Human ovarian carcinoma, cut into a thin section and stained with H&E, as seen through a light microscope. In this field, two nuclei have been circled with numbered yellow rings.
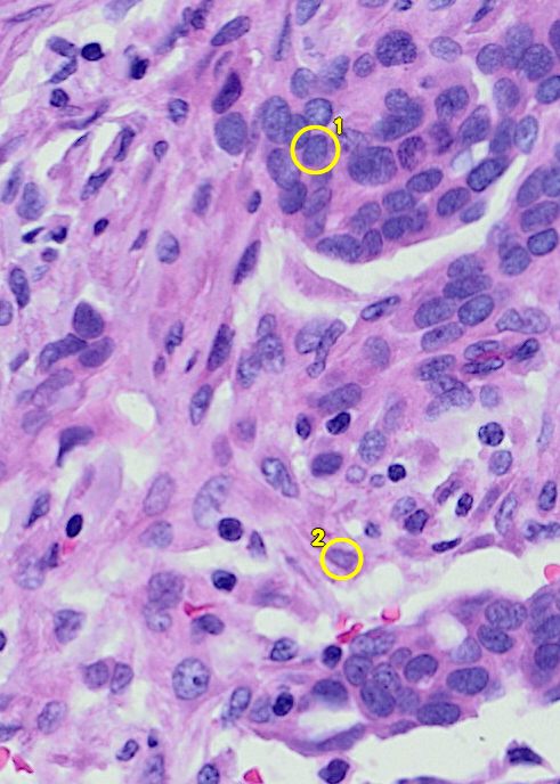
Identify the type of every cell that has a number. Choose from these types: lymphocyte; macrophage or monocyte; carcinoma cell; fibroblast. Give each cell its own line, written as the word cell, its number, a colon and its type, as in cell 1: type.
cell 1: carcinoma cell
cell 2: fibroblast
